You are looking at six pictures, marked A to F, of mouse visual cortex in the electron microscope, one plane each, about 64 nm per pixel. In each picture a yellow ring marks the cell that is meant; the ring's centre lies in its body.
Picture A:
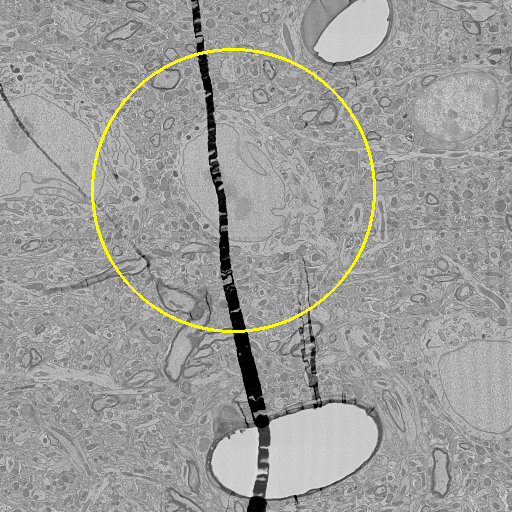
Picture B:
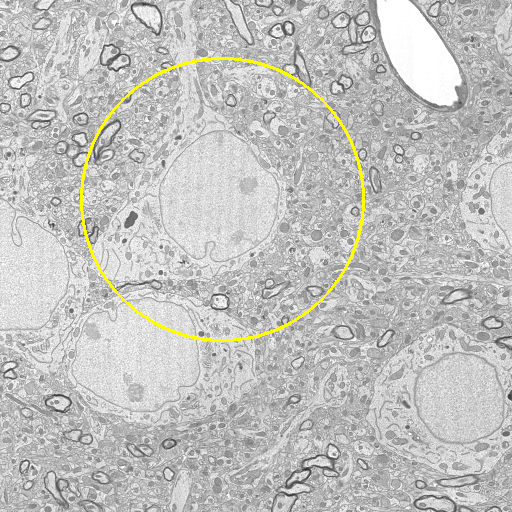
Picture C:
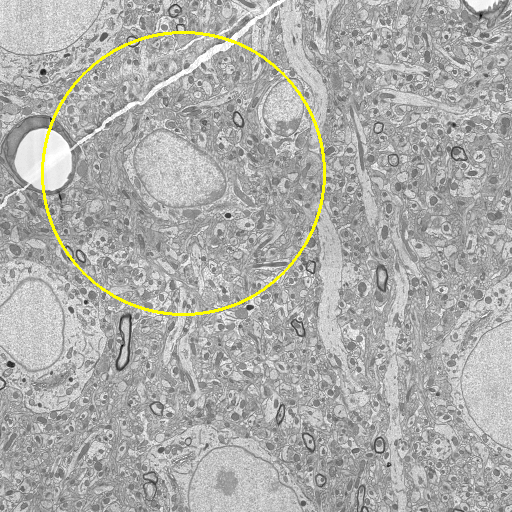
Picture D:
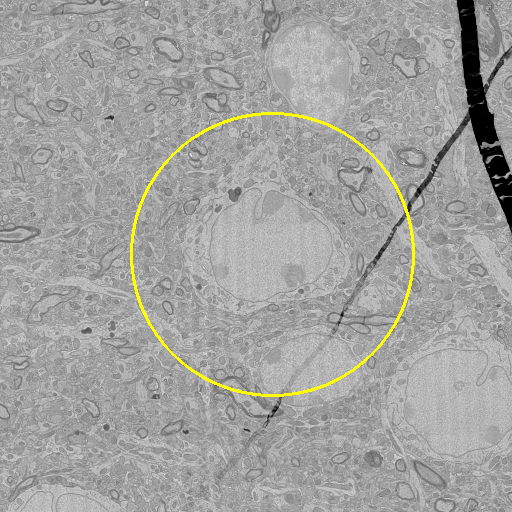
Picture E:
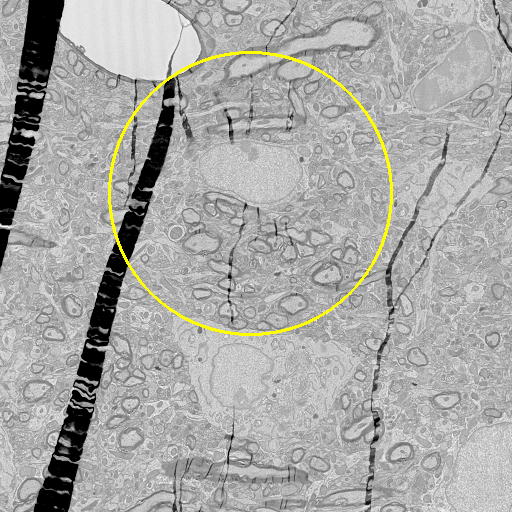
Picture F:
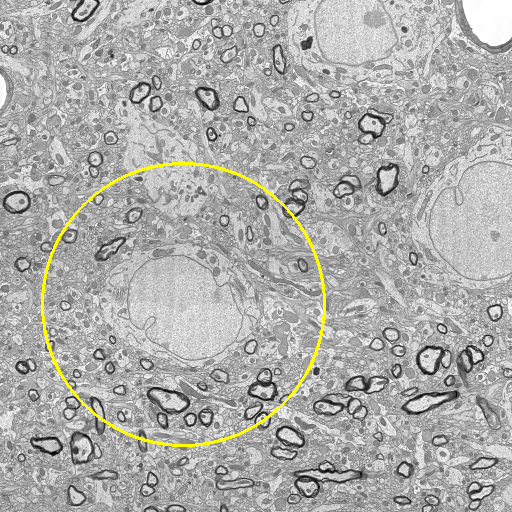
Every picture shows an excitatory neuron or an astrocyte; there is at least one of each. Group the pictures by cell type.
Pictures A, B, D and F show excitatory neurons, and pictures C and E show astrocytes.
